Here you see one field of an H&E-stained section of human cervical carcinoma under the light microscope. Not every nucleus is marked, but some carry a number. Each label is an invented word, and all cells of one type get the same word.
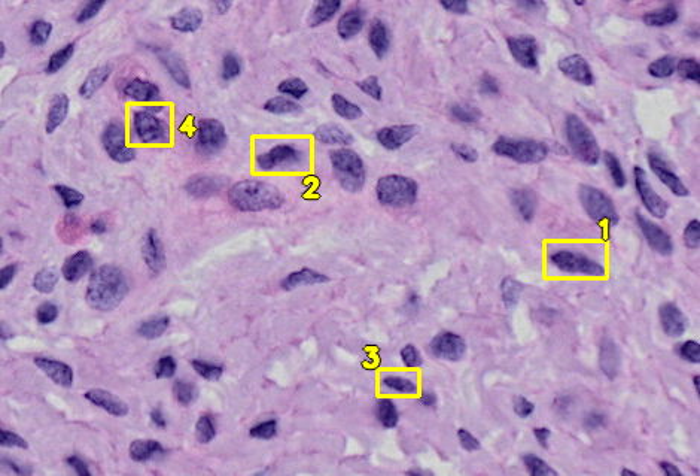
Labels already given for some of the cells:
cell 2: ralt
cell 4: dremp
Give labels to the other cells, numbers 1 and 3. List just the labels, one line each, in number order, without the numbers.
ralt
ralt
